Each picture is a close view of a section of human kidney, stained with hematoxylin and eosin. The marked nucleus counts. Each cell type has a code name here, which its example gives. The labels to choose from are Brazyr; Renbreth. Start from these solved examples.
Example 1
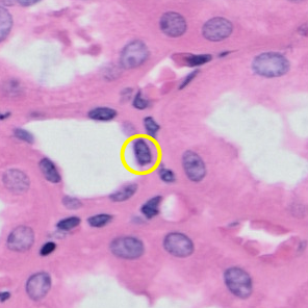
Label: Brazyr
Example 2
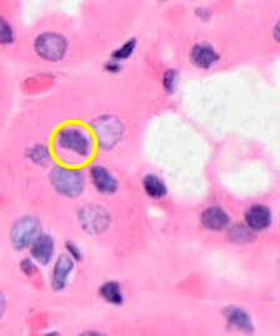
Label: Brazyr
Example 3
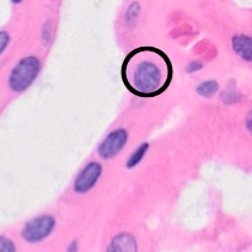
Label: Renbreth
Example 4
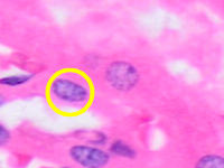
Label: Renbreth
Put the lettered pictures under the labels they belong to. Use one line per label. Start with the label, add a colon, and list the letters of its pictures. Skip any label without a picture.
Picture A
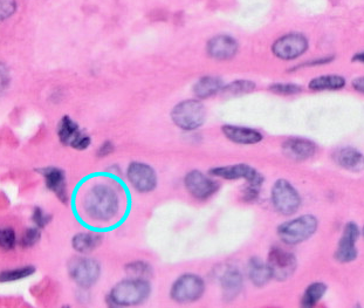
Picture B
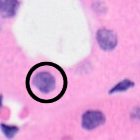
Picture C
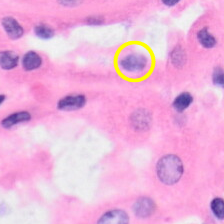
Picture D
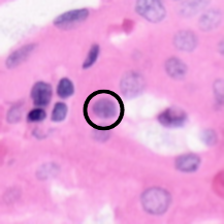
Brazyr: B, C, D
Renbreth: A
